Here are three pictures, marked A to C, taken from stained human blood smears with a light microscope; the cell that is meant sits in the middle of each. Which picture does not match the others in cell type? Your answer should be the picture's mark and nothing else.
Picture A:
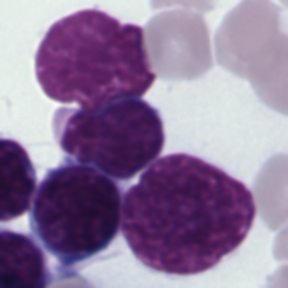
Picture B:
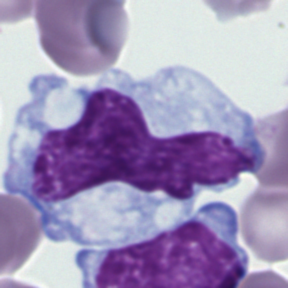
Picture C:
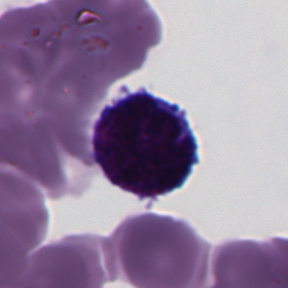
B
